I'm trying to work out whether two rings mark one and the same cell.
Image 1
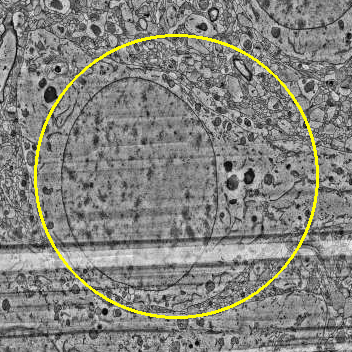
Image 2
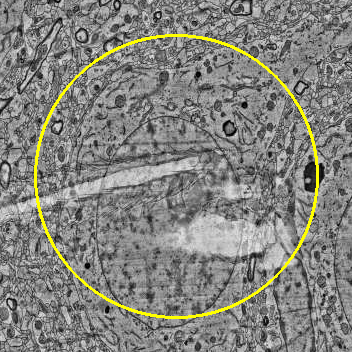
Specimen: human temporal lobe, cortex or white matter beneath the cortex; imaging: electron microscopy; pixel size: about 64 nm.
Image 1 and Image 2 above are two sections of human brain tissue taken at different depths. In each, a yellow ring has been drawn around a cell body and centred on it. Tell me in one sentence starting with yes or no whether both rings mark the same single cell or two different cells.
No, the cell in one ring is not the cell in the other.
